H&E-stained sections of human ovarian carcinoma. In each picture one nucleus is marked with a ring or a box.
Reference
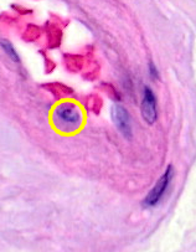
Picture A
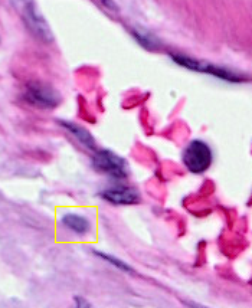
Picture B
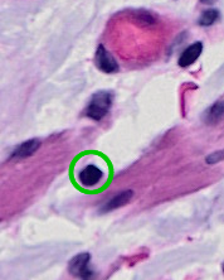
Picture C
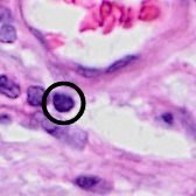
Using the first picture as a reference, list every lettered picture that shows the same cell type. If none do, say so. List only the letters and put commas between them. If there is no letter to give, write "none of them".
none of them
